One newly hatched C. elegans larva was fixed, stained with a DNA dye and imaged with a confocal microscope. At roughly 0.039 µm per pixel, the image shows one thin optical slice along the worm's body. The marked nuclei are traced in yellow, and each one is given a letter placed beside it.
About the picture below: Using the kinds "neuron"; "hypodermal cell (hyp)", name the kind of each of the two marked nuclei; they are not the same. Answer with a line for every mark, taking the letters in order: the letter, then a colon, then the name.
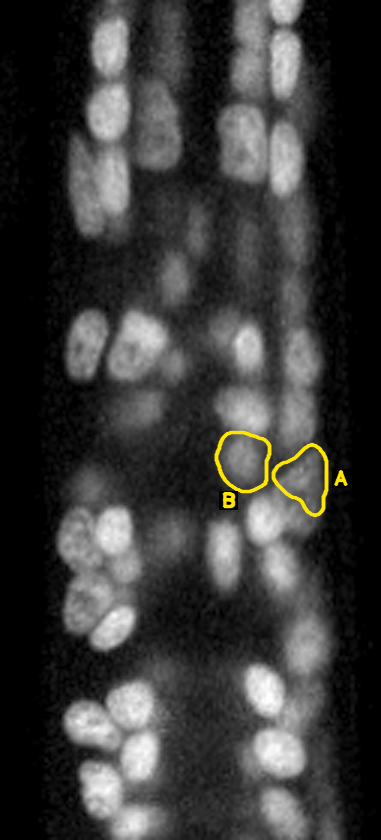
A: hypodermal cell (hyp)
B: neuron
